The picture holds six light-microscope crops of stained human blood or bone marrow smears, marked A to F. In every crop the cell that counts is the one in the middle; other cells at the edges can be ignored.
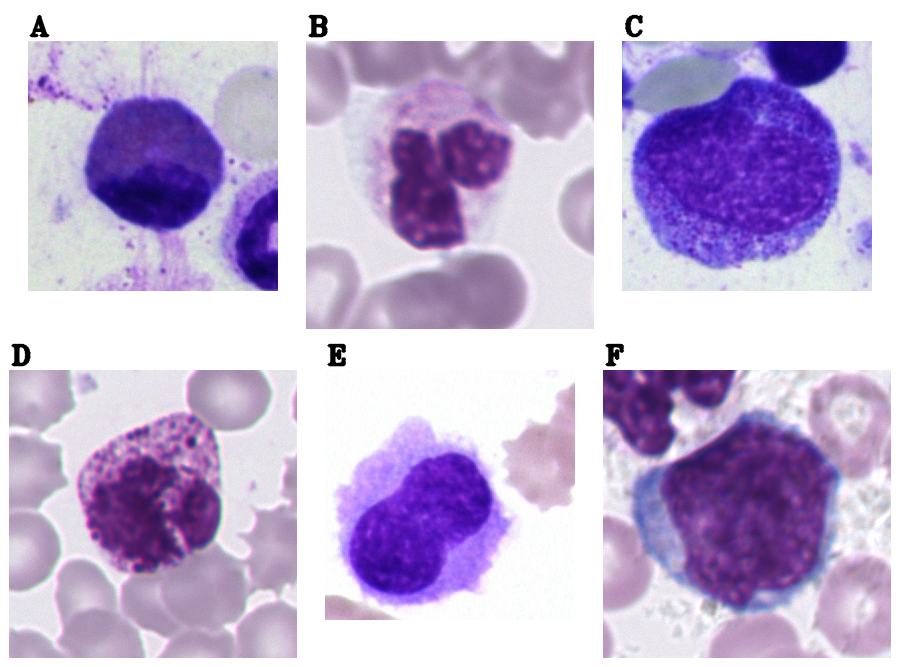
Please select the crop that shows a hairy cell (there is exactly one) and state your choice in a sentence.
The crop marked E is the one that shows a hairy cell.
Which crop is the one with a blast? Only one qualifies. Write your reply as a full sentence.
When the crops are compared, crop F is the one showing a blast.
